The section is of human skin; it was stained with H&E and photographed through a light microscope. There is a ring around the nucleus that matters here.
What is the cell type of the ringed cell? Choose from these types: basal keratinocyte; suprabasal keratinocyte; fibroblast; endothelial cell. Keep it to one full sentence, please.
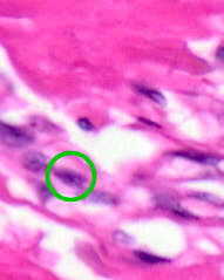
In the context of this tissue, the ringed cell is an endothelial cell.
